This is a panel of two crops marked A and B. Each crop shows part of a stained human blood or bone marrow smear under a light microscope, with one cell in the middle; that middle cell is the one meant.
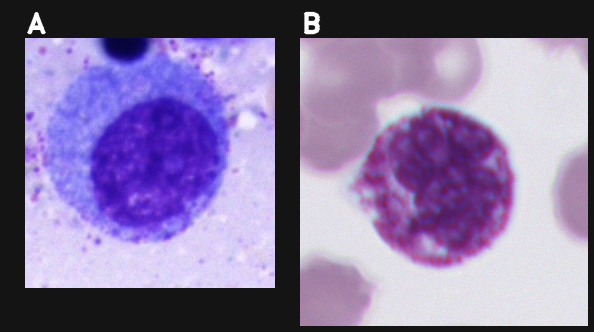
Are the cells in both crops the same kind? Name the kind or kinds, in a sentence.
No, crop A offers a promyelocyte, while crop B offers an eosinophil.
